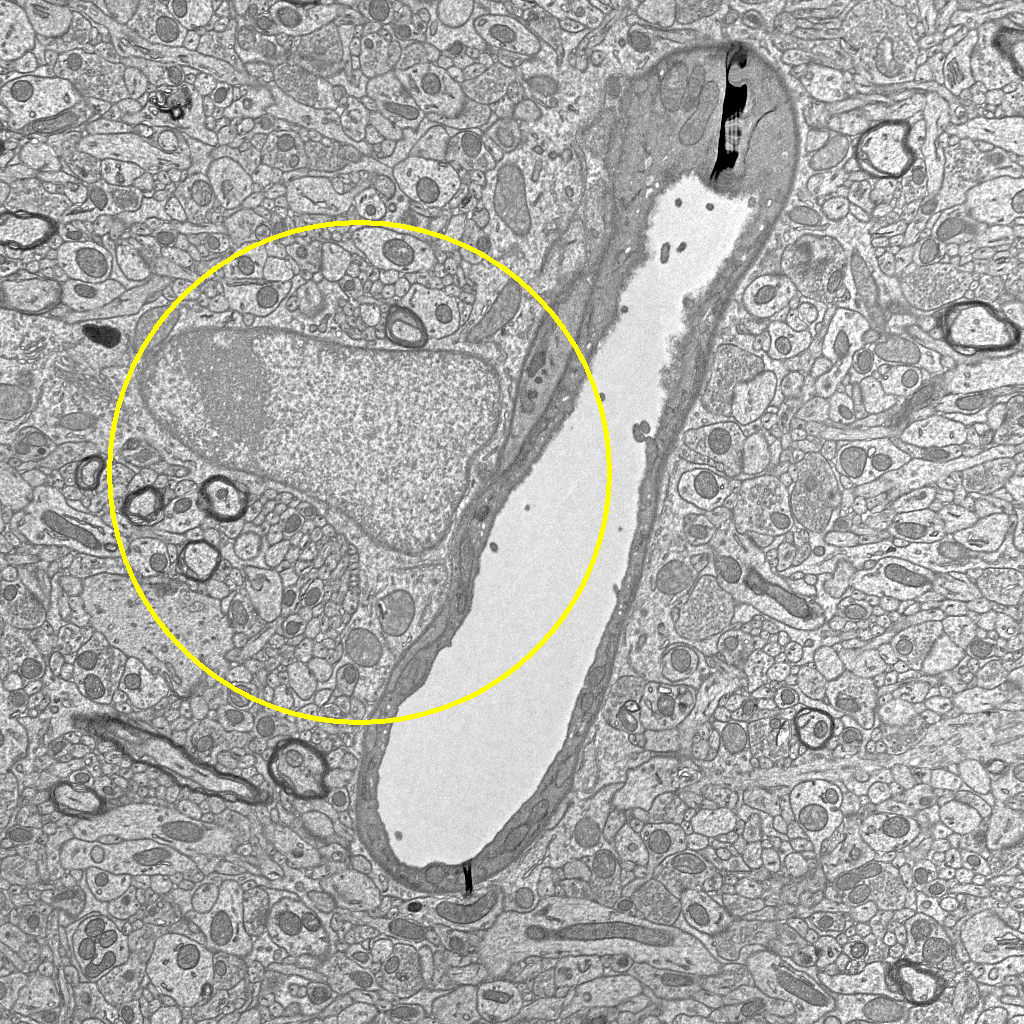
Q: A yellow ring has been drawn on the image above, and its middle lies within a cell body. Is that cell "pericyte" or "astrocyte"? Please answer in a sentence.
The ring's middle lies in the cell body of an astrocyte.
